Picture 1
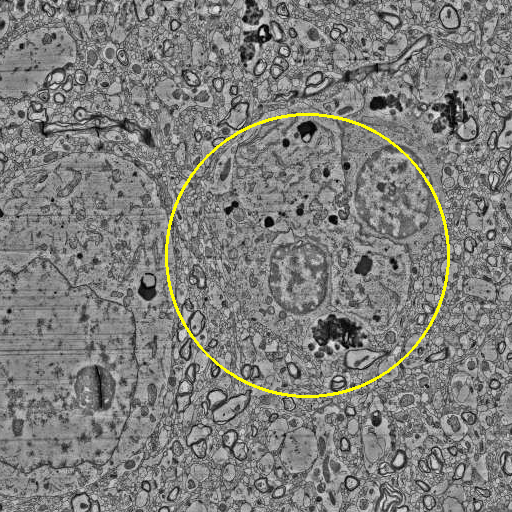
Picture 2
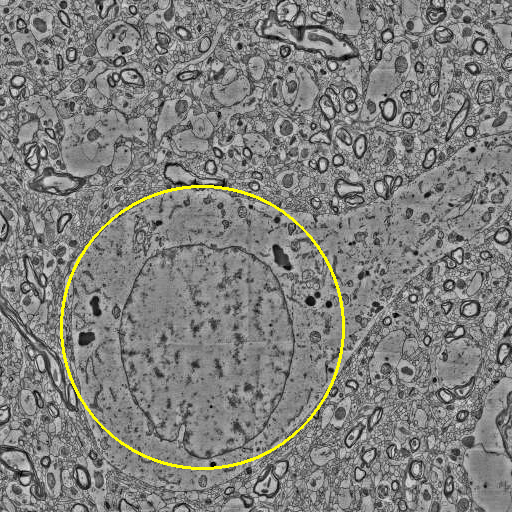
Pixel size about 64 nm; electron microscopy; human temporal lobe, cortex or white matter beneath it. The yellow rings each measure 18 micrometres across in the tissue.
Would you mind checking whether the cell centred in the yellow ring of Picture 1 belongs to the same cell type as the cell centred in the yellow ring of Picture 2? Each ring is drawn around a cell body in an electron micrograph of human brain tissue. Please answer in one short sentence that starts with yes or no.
No, the two cells are of two types.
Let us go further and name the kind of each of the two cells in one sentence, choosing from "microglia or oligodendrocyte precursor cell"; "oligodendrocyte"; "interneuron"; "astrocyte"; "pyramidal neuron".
The ring of the first picture is on an oligodendrocyte, the ring of the second on a pyramidal neuron.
